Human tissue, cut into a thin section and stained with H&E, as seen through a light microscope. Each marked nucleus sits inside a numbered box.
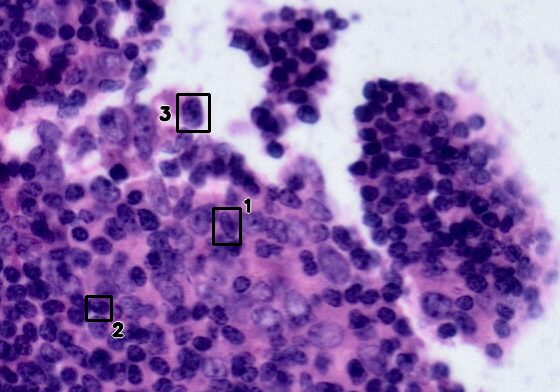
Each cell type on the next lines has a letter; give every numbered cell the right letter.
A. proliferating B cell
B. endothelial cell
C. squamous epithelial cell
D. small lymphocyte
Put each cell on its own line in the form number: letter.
1: A
2: D
3: A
